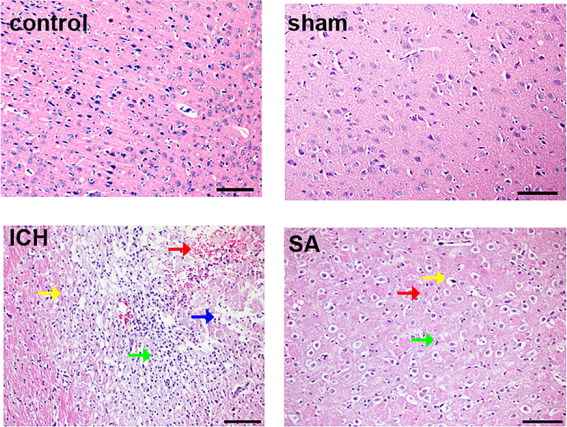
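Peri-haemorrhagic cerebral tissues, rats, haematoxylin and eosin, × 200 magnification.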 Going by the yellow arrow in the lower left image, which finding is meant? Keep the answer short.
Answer: Cellular oedema and nuclear pyknosis.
